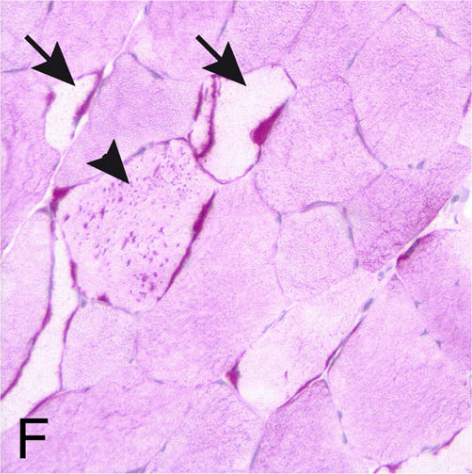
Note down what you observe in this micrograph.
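Skeletal muscle fibres cut in cross-section, polygonal and closely packed, mostly with evenly pink cytoplasm. A few fibres look pale and contain magenta material gathered at their edges. One fibre holds many small scattered magenta inclusions. Small flattened nuclei lie at the fibre margins.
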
